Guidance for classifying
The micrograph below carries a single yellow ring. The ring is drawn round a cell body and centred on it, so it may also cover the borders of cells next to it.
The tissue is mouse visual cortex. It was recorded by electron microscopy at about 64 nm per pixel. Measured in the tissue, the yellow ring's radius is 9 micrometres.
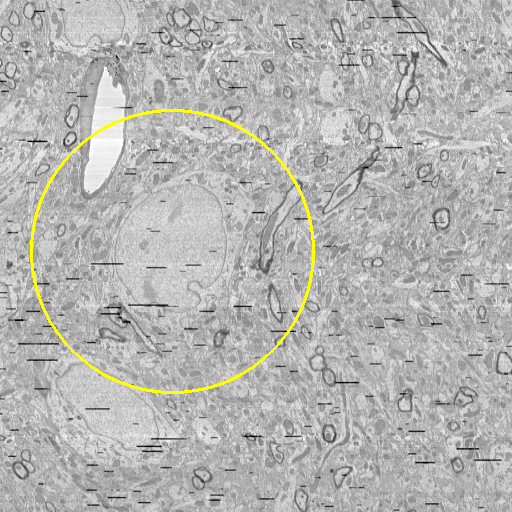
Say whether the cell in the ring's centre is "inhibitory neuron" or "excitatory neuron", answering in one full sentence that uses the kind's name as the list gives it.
Within the yellow ring, an excitatory neuron is the cell whose body sits at the centre.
